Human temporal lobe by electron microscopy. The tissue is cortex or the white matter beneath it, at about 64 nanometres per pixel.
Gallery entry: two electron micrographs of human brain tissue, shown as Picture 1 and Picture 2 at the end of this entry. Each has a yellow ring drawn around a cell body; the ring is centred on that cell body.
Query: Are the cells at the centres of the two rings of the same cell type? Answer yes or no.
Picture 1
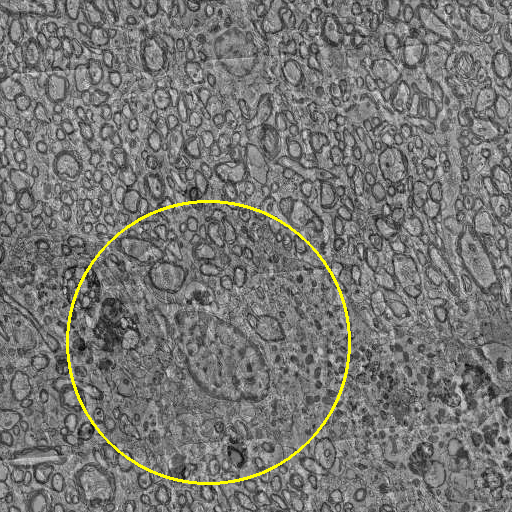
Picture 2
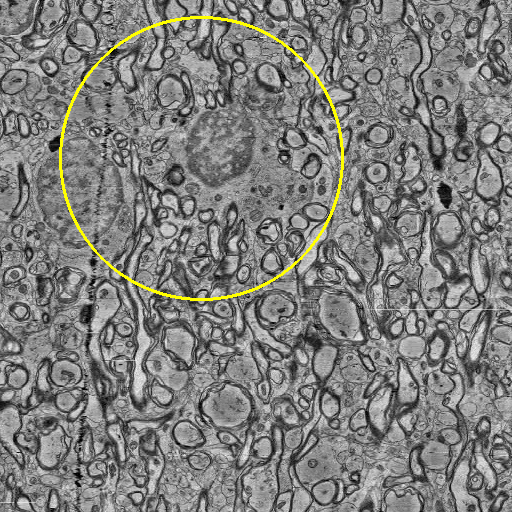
no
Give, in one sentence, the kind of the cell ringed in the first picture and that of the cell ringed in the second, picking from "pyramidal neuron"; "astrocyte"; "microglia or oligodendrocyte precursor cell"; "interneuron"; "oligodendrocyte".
For the first picture it is a microglial cell or oligodendrocyte precursor cell; for the second, an oligodendrocyte.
